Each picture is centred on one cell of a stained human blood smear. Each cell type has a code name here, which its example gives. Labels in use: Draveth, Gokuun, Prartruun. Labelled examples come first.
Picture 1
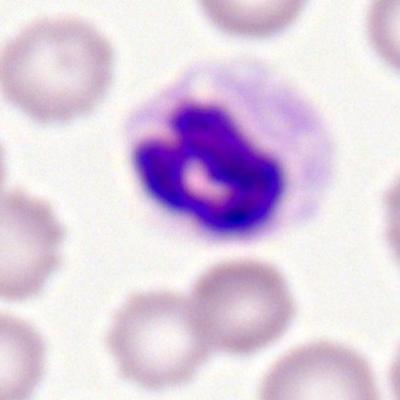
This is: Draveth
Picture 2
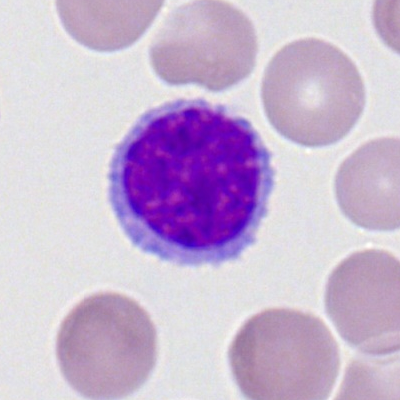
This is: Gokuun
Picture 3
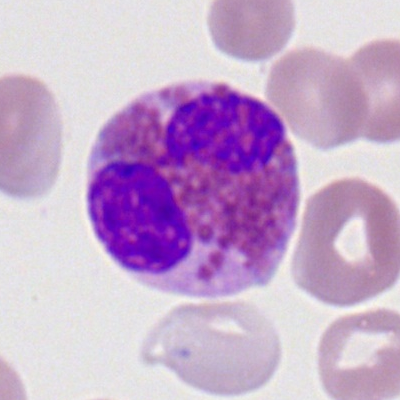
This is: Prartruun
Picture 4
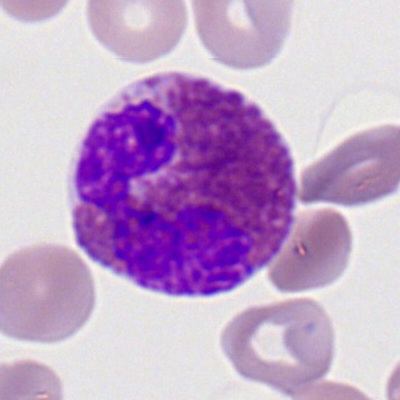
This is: Prartruun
